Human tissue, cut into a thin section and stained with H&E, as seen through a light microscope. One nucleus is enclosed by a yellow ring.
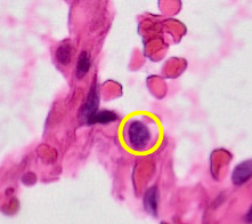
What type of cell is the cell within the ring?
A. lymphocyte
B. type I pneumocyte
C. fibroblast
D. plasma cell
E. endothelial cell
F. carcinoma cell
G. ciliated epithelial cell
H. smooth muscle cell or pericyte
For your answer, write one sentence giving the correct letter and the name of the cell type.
The item is answered by option B: the cell within the ring is a type I pneumocyte.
